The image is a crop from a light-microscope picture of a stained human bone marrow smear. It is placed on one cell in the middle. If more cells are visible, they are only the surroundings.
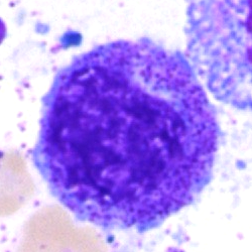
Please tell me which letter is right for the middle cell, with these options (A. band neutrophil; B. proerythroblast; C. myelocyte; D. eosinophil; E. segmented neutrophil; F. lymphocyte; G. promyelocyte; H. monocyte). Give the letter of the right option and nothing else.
C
